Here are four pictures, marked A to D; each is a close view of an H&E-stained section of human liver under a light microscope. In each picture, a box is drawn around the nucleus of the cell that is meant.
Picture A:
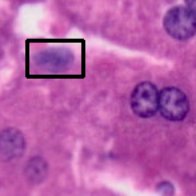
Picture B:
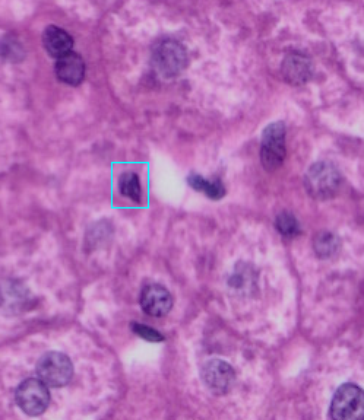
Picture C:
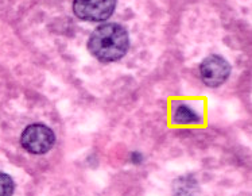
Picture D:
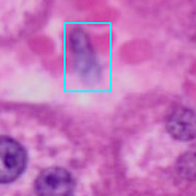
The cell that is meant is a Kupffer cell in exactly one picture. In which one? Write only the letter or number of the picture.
D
